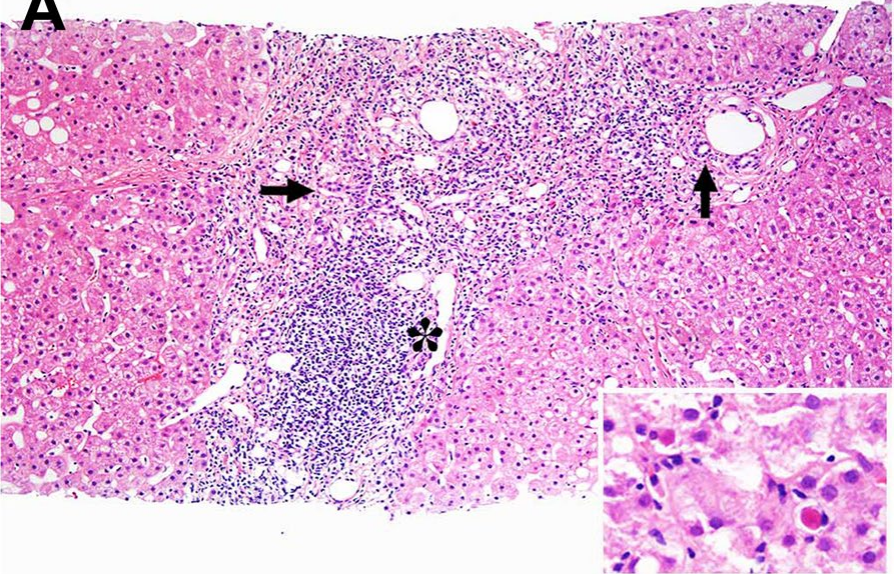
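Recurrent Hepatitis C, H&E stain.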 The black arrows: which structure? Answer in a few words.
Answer: bile ducts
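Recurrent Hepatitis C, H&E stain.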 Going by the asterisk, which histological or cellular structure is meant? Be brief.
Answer: nodular lymphoid aggregate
